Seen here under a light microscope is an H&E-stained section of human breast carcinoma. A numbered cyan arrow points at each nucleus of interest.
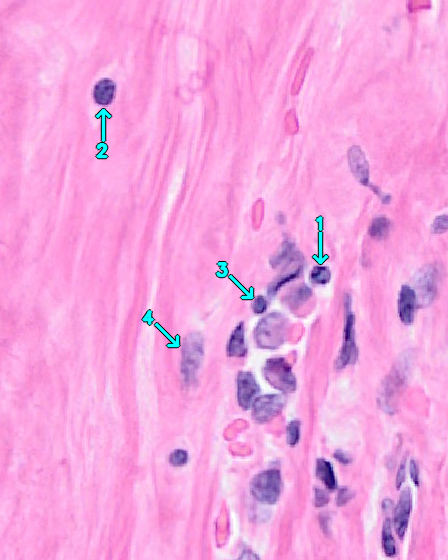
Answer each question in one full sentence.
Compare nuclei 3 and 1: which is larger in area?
Nucleus 1 covers more area, about 1.5 times as much as nucleus 3.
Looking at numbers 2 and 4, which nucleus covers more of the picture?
Nucleus 4 is the larger one, covering about 2 times the area of nucleus 2.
